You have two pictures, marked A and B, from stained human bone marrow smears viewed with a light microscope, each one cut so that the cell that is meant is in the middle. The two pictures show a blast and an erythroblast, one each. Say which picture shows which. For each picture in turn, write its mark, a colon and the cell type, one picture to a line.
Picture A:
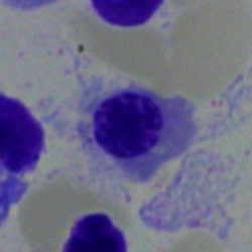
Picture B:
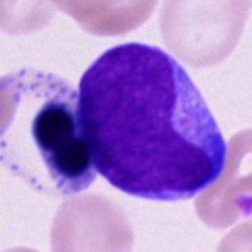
A: erythroblast
B: blast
